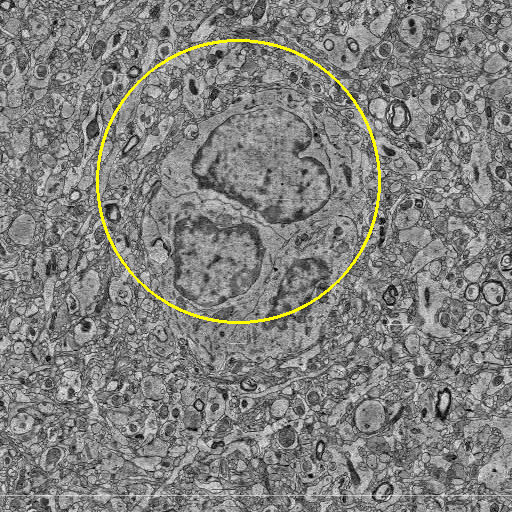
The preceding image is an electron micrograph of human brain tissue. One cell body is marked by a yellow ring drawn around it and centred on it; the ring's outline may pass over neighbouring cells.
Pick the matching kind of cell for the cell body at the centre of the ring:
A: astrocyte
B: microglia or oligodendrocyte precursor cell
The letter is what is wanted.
B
